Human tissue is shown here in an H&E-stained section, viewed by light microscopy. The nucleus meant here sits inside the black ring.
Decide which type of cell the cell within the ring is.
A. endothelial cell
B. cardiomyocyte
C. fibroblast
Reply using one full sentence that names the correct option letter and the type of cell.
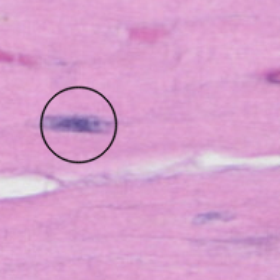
Of the options offered, A is correct, as the cell within the ring is an endothelial cell.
